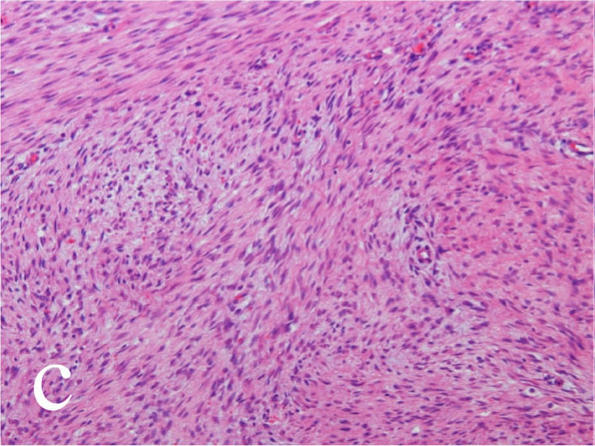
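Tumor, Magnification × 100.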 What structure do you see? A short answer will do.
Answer: fascicles or storiform growth pattern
